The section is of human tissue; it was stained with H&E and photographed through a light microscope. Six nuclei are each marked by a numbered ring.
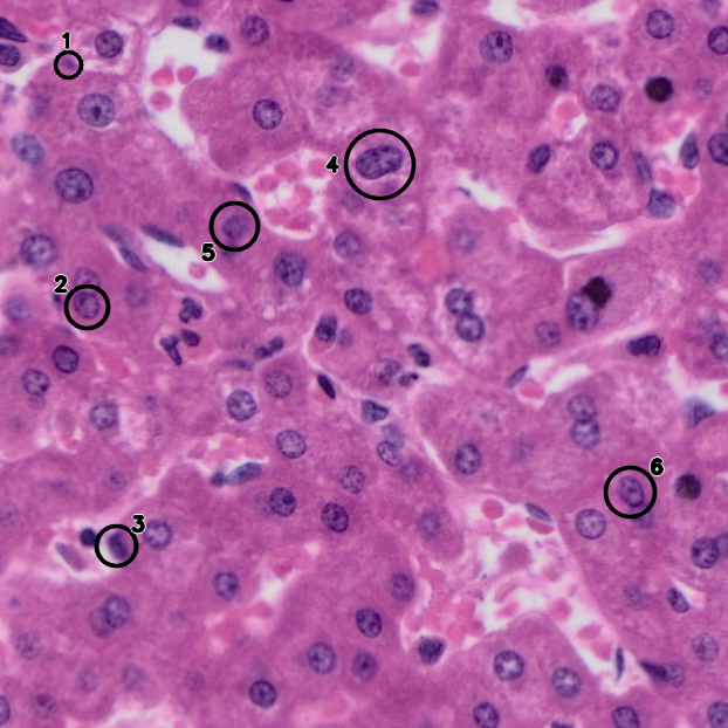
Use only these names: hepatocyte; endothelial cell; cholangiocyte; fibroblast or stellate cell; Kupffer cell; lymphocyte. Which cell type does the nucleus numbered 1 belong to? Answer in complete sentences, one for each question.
Belonging to a fibroblast or stellate cell is the nucleus that carries the number 1.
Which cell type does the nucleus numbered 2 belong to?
Recognised here as a hepatocyte is the cell numbered 2.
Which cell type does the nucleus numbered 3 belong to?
The nucleus marked 3 is the nucleus of a fibroblast or stellate cell.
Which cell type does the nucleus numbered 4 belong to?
The cell marked with the number 4 is a hepatocyte.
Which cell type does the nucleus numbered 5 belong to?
Cell 5 should be recorded as a hepatocyte.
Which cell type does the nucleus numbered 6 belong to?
The nucleus labelled 6 belongs to a hepatocyte.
